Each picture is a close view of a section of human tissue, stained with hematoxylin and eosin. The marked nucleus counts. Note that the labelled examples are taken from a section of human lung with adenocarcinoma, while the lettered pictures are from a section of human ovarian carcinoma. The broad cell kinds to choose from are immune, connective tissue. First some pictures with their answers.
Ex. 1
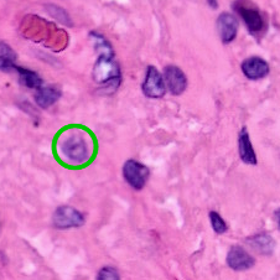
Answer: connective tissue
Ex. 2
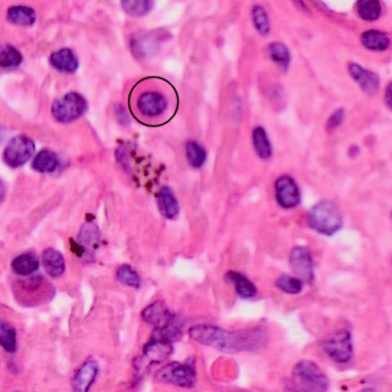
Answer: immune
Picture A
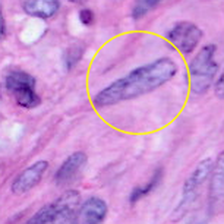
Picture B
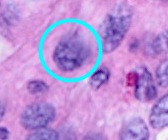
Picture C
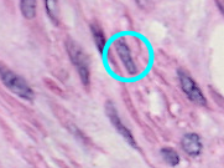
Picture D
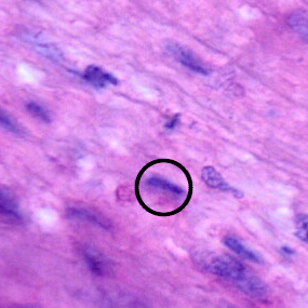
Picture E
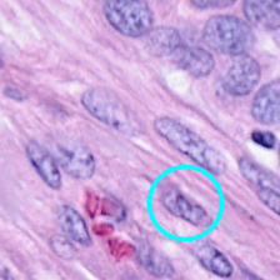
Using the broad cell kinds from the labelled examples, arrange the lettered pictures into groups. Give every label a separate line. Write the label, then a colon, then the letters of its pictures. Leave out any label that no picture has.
immune: D
connective tissue: A, B, C, E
